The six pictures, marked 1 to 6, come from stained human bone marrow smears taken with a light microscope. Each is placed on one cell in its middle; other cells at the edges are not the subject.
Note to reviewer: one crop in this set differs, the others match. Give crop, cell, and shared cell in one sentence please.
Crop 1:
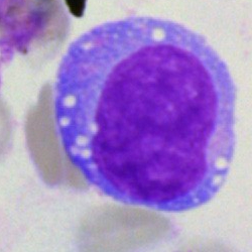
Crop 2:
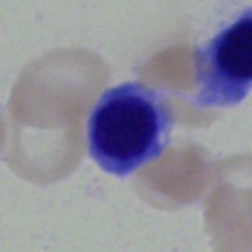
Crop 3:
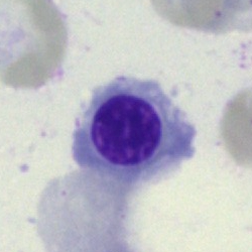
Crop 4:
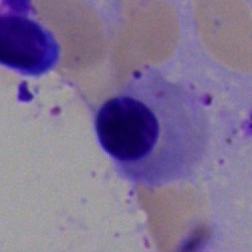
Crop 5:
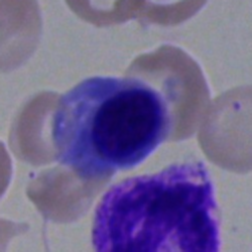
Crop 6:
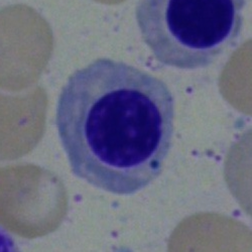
The central cell of crop 1 is a blast, while the other crops show erythroblasts.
